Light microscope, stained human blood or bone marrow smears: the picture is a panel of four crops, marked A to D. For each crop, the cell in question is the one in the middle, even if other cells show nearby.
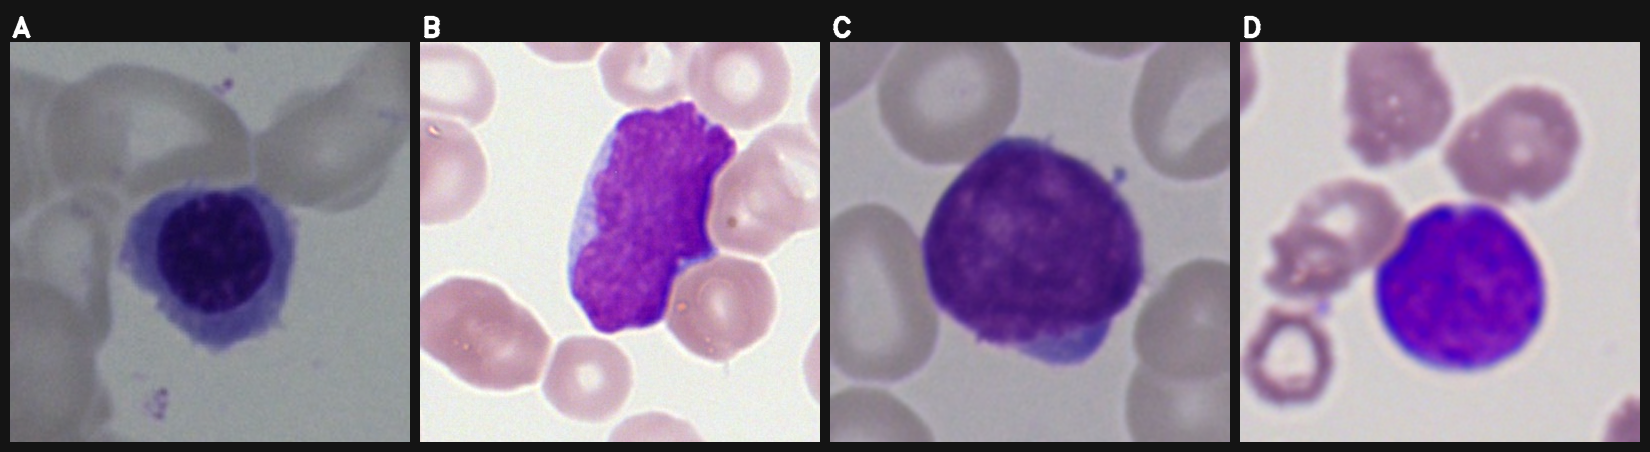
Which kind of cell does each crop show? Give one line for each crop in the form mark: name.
A: erythroblast
B: blast
C: blast
D: blast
